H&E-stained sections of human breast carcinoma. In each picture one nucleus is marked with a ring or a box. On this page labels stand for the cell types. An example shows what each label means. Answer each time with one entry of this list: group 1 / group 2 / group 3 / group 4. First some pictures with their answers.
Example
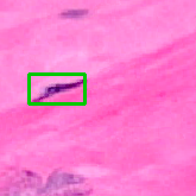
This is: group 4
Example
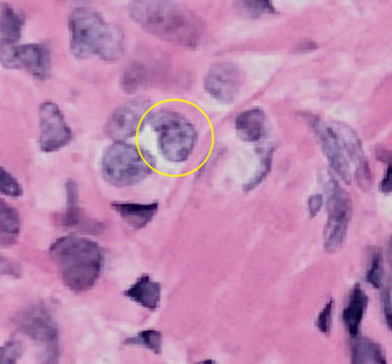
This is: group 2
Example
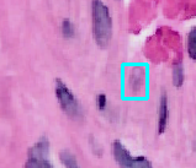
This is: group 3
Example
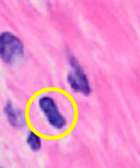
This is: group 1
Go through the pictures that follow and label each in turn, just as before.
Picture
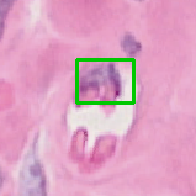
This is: group 3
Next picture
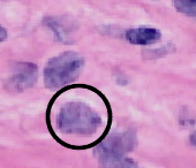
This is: group 2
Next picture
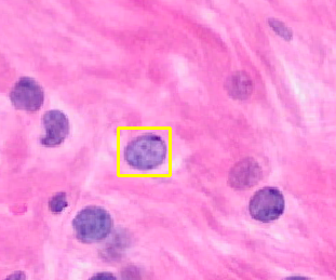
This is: group 2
